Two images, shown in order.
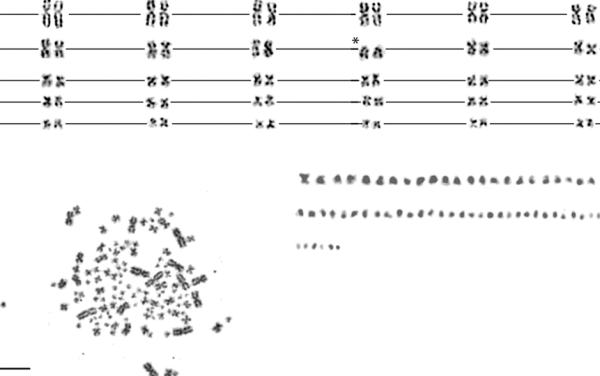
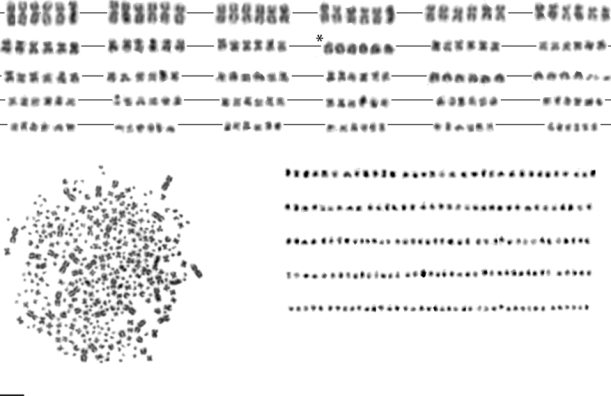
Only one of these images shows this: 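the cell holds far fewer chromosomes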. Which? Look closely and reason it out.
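Second image: the spread is densely packed with several hundred chromosomes and the karyotype groups hold many chromosomes each. First image: the spread is sparse and the karyotype groups hold only a few chromosomes each. The answer: the first image.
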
